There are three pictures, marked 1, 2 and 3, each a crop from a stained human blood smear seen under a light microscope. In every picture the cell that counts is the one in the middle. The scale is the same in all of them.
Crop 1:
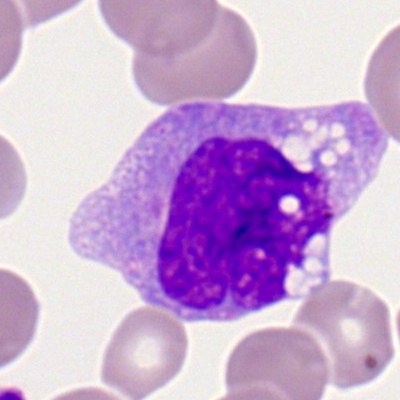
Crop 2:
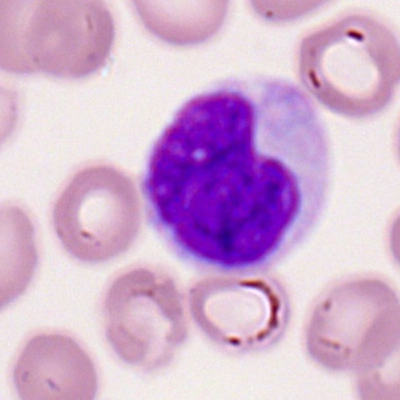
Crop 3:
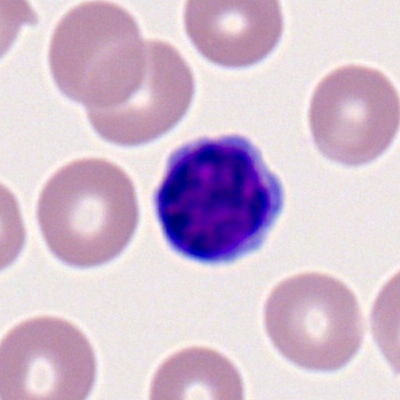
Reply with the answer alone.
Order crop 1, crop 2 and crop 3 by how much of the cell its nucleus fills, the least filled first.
1, 2, 3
